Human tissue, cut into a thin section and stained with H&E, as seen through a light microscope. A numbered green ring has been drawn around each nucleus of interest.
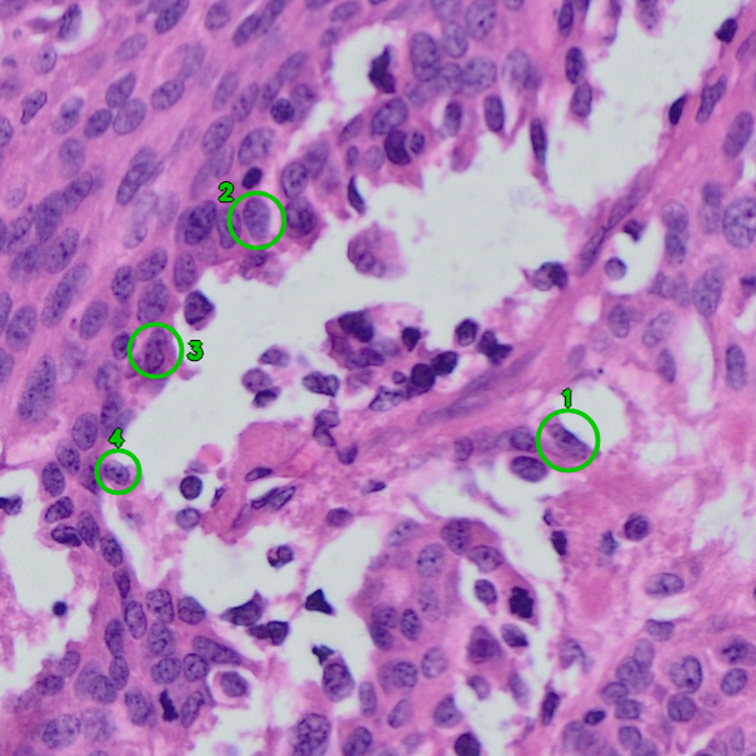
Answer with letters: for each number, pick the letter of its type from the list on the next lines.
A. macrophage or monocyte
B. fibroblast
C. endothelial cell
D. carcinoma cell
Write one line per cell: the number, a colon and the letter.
1: D
2: D
3: D
4: A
